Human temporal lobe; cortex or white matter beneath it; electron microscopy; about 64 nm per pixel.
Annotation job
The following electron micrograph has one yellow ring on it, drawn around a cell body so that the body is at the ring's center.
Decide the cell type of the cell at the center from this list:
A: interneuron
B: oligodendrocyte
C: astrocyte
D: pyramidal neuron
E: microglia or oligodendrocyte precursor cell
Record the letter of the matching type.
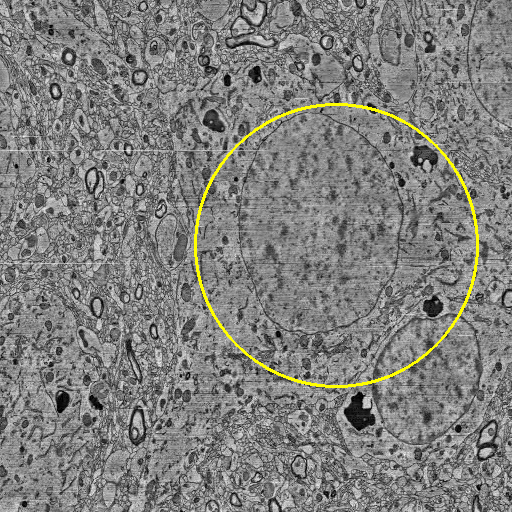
D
